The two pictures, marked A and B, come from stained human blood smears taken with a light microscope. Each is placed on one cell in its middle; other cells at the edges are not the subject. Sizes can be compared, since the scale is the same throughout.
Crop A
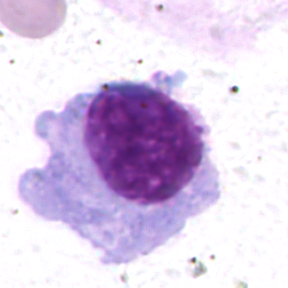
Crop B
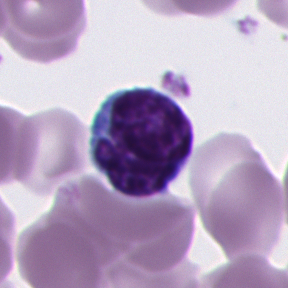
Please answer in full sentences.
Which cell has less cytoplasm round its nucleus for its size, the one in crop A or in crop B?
Of the two, the nucleus in crop B makes up the greater part of its cell.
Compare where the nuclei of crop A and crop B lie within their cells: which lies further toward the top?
In crop A the nucleus is shifted more toward the top.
